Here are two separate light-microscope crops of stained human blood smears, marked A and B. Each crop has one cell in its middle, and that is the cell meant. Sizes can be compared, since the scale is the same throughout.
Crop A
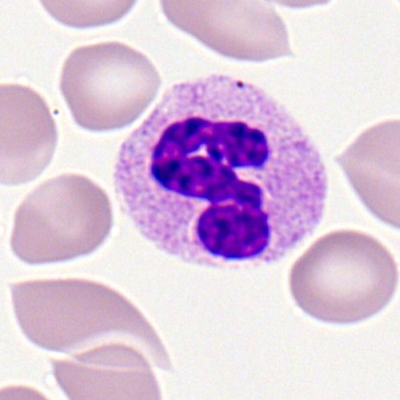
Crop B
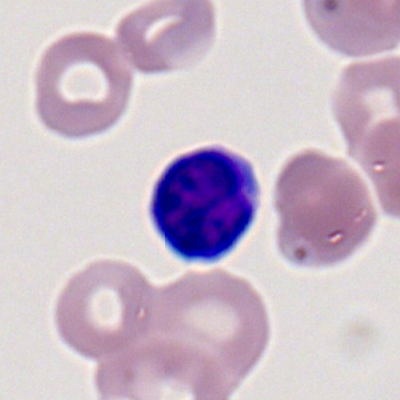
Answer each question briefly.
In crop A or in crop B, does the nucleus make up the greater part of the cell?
B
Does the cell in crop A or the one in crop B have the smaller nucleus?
B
